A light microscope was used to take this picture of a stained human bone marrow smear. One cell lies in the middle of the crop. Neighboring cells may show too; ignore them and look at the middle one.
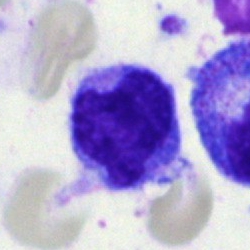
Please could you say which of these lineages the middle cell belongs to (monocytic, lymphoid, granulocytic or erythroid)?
monocytic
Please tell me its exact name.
monocyte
